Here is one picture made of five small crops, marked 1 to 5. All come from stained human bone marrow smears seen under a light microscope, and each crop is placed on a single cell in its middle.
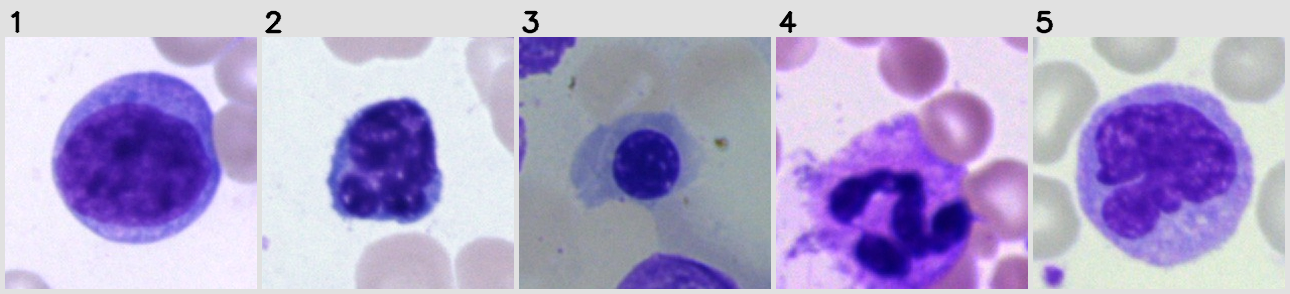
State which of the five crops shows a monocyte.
5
